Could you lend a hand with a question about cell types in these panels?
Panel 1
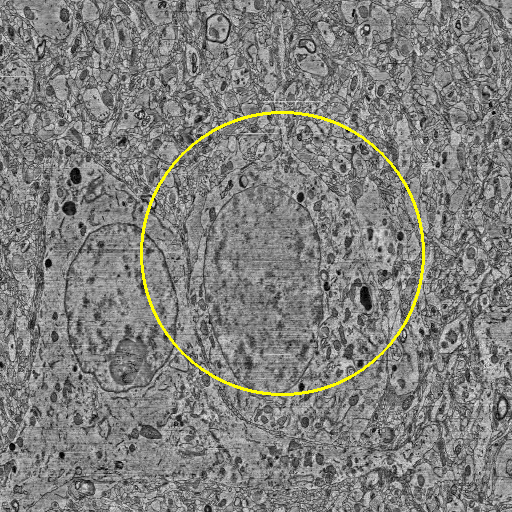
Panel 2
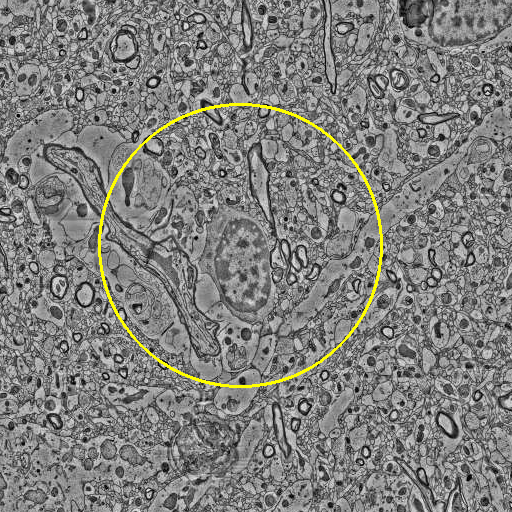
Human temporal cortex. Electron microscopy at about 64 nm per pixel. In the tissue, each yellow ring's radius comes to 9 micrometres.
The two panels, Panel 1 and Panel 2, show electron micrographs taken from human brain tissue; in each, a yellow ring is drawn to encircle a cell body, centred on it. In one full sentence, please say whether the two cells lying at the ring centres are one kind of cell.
No, the cells at the ring centres in the two panels are two kinds of cell.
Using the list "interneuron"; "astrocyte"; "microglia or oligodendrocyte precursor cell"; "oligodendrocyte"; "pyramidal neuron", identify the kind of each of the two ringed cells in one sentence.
The first is an interneuron and the second is an oligodendrocyte.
